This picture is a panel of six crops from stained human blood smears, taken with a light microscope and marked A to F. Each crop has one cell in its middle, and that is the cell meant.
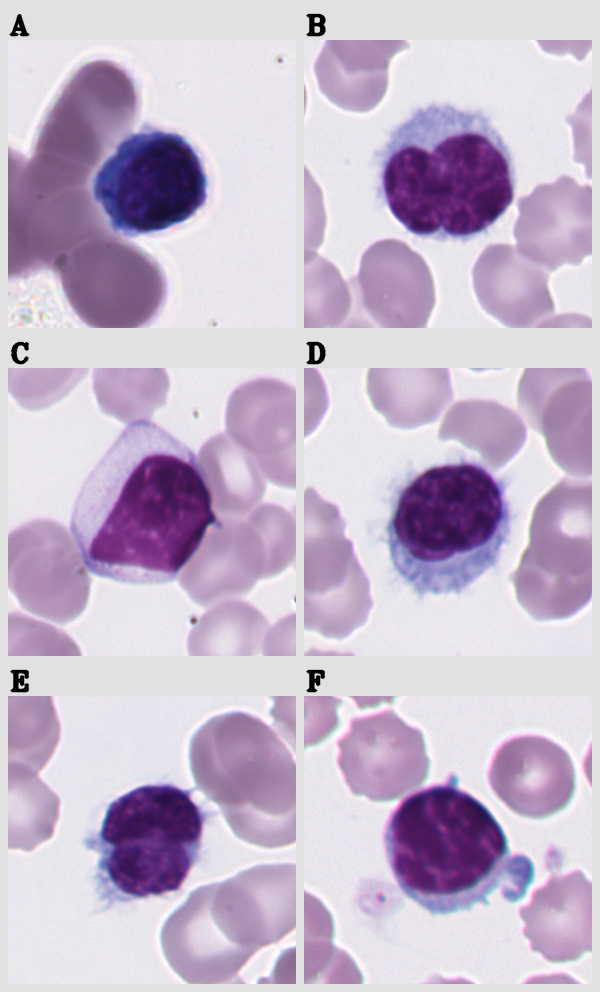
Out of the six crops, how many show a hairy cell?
3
